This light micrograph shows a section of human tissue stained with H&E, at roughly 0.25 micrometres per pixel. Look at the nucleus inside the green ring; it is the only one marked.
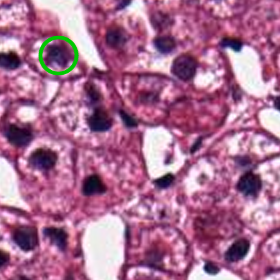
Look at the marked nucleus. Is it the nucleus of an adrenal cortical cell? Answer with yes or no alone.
yes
